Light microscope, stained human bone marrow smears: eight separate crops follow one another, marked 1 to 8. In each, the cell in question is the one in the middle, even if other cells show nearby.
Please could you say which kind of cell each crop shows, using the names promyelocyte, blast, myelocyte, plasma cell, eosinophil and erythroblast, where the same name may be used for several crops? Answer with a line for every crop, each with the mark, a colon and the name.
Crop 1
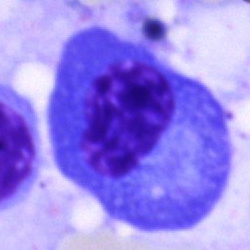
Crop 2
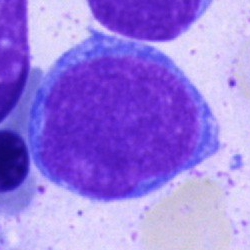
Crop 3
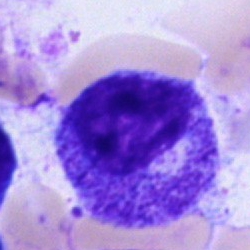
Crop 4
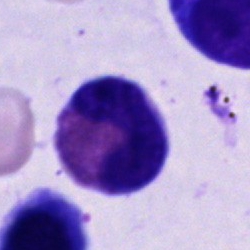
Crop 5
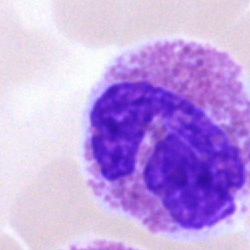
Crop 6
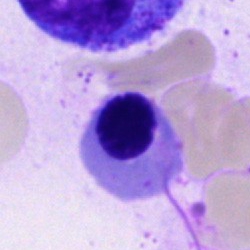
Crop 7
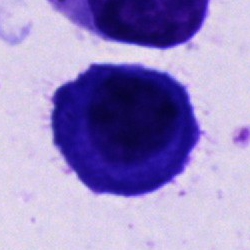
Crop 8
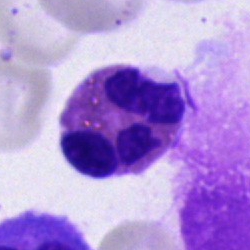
1: plasma cell
2: blast
3: myelocyte
4: eosinophil
5: eosinophil
6: erythroblast
7: plasma cell
8: eosinophil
